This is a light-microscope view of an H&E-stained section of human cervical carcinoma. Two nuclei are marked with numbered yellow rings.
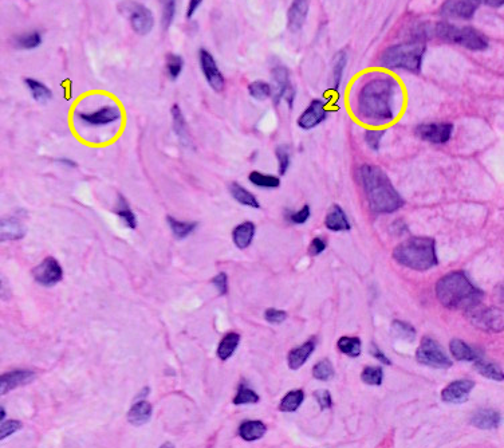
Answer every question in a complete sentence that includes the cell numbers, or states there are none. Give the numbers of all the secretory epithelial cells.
Of the marked cells, the one numbered 2 is a secretory epithelial cell and the rest are not.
